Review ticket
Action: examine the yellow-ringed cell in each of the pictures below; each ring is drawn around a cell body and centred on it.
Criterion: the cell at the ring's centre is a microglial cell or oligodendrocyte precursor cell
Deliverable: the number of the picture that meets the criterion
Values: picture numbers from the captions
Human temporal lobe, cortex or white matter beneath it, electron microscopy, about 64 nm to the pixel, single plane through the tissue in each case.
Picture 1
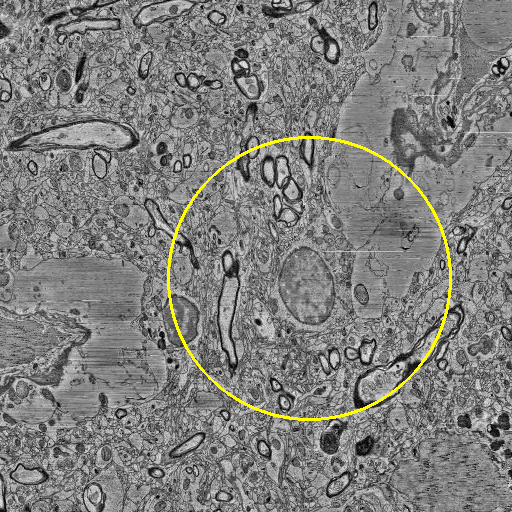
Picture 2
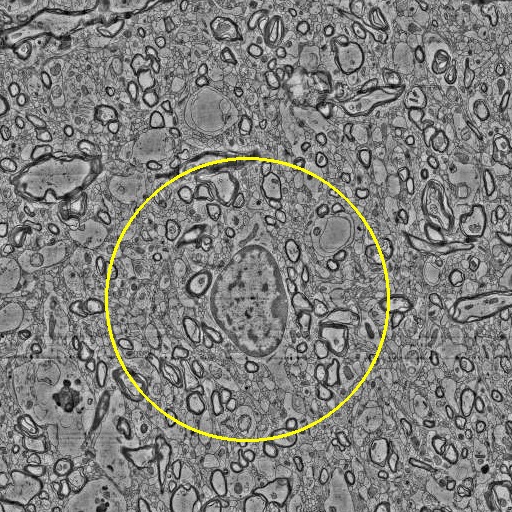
2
